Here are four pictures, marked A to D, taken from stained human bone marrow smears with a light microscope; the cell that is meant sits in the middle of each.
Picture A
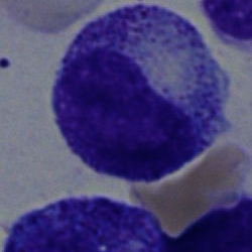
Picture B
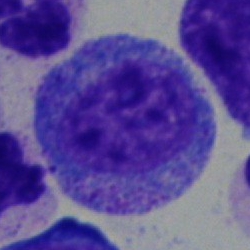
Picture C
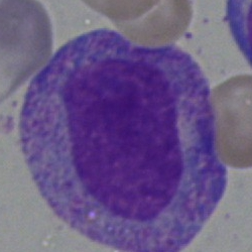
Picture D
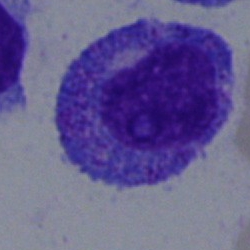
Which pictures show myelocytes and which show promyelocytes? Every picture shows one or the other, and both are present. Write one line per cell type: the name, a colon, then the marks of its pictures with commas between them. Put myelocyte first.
myelocyte: A
promyelocyte: B, C, D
